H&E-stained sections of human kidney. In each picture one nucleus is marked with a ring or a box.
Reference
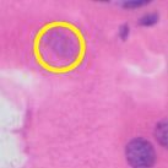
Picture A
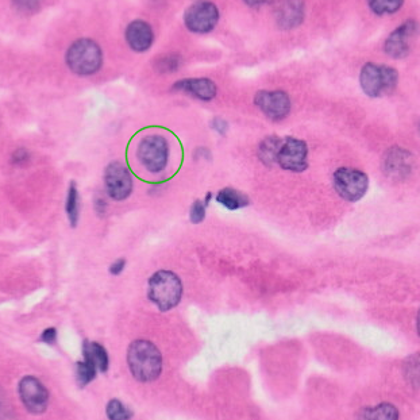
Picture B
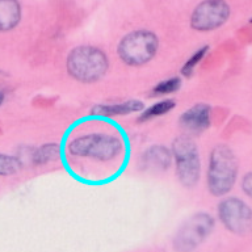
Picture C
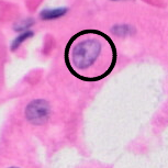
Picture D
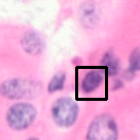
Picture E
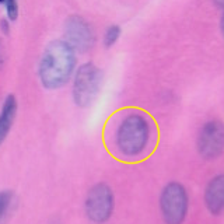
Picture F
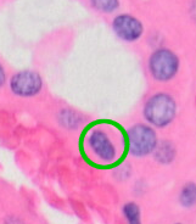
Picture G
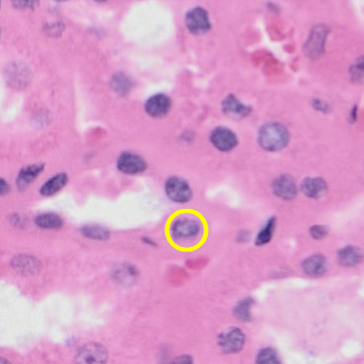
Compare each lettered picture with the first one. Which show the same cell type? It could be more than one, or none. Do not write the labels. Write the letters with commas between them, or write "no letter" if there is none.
C, E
